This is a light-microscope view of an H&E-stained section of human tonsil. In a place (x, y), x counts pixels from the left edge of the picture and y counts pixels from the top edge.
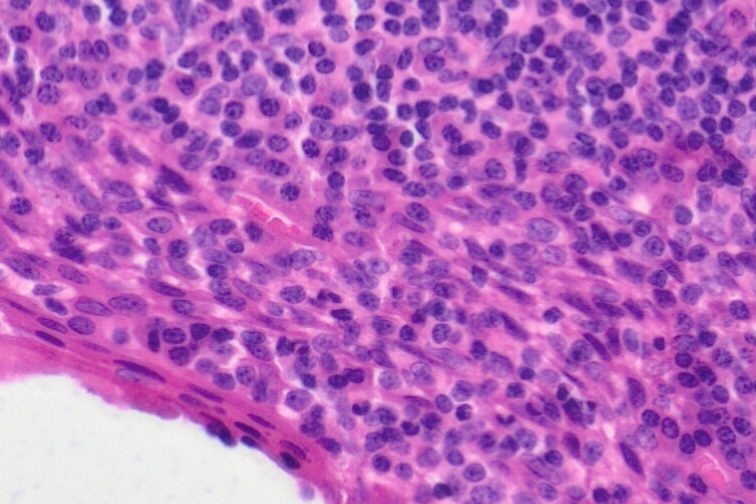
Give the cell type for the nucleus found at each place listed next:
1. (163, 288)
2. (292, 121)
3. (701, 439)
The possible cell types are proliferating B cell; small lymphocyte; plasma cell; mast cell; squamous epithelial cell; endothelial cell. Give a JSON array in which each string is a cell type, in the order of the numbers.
["squamous epithelial cell", "plasma cell", "plasma cell"]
